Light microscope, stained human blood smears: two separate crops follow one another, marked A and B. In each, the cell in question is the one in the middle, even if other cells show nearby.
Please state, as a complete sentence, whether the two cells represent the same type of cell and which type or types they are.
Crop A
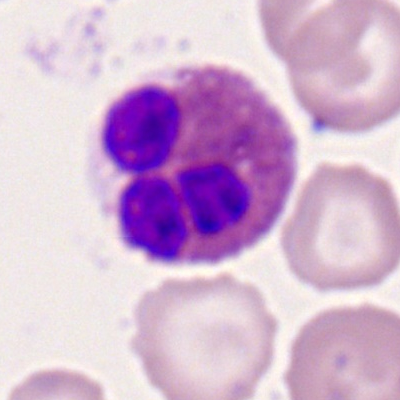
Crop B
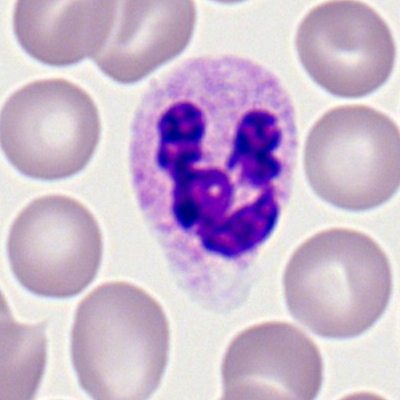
No, in crop B the central cell is a segmented neutrophil, and in crop A it is an eosinophil.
